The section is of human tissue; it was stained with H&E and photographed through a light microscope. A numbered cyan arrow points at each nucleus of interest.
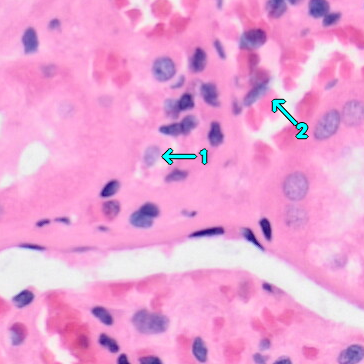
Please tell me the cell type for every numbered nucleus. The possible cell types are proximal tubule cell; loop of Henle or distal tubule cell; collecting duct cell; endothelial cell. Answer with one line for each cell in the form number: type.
1: loop of Henle or distal tubule cell
2: endothelial cell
